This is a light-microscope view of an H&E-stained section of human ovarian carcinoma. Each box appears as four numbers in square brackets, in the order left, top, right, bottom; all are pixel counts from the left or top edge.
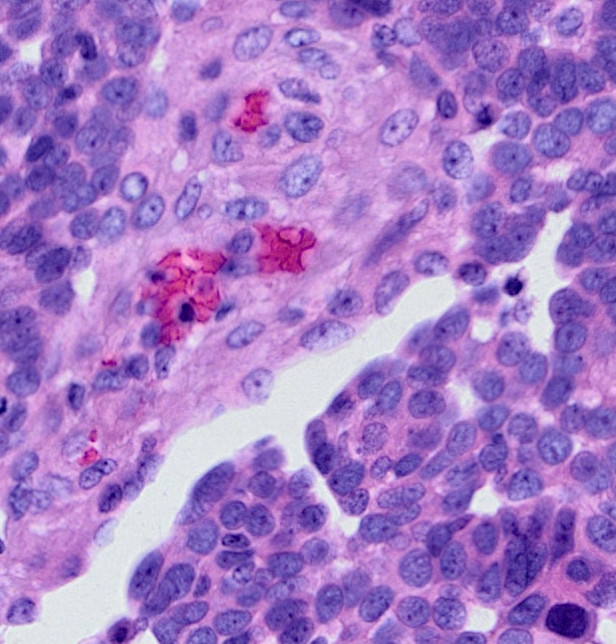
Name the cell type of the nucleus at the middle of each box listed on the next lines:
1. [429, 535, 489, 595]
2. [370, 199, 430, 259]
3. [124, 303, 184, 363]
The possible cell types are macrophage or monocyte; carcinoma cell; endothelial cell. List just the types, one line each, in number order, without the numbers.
carcinoma cell
endothelial cell
endothelial cell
